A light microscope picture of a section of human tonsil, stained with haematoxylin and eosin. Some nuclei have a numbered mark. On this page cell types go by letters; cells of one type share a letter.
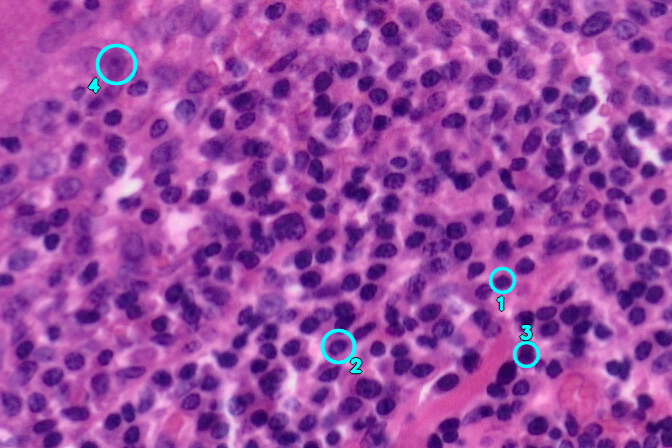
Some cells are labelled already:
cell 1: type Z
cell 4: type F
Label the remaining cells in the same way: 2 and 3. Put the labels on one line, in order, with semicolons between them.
type Z; type Z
